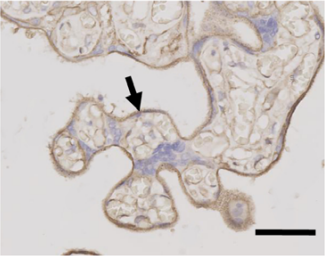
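A branching placental villus and its neighbours are shown, each outlined by a brown-stained rim of trophoblast cells. The rim is thin over most of the surface but in places thickens where blue nuclei crowd together into small knots. The villous cores hold loose stroma with pale rounded spaces of small vessels and scattered nuclei. Staining is clearly strongest at the outer surface of the villi.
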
